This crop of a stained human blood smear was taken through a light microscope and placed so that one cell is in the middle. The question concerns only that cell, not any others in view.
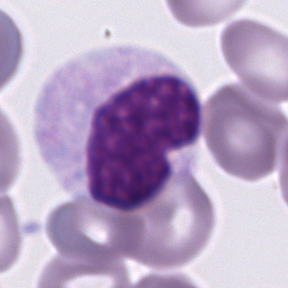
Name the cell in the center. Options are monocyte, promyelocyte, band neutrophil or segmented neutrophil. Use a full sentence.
Classified as a band neutrophil is the cell in the middle of this crop.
